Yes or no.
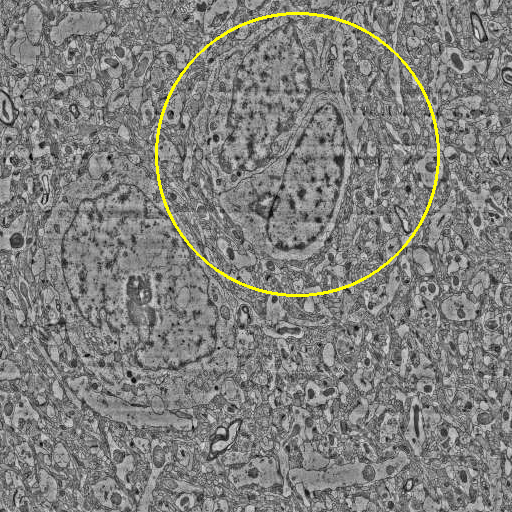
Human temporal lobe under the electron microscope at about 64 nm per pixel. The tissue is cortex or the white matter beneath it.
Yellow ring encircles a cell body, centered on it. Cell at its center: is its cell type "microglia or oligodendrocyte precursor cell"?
yes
